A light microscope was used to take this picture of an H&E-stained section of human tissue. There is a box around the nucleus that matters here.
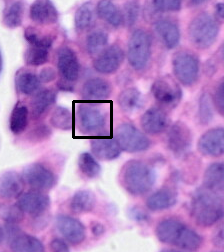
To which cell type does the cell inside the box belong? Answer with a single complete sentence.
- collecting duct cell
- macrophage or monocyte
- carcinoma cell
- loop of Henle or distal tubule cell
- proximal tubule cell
In this section, the cell inside the box is a carcinoma cell.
